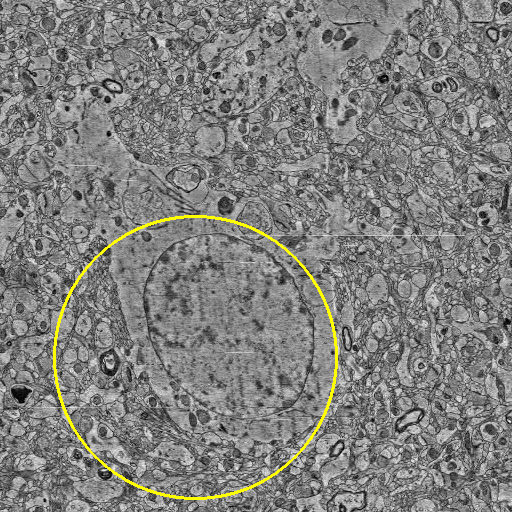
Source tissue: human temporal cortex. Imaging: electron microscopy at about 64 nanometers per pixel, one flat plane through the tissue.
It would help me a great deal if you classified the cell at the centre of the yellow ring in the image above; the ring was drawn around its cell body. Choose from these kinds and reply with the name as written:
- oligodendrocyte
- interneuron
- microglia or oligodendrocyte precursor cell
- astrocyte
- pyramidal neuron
astrocyte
